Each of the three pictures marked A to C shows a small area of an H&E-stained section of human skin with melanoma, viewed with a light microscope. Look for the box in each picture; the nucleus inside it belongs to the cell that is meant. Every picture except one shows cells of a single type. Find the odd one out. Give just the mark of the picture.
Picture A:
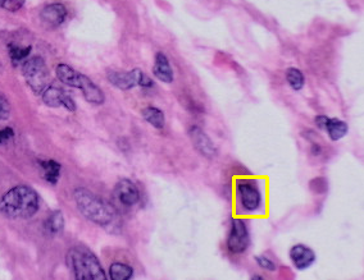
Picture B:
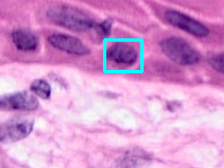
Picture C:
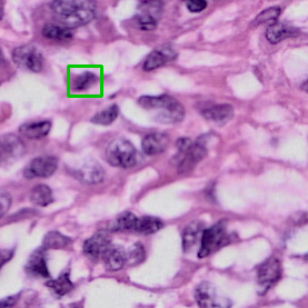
B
